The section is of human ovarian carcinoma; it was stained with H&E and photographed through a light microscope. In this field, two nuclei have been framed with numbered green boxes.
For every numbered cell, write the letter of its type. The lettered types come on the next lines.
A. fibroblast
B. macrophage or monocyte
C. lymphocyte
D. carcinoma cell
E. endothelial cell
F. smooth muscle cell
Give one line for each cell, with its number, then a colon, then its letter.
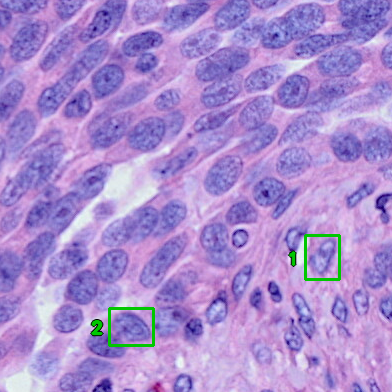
1: A
2: D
